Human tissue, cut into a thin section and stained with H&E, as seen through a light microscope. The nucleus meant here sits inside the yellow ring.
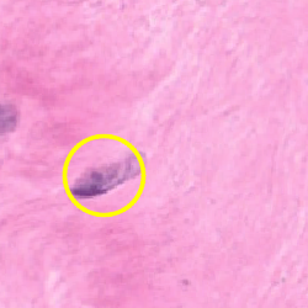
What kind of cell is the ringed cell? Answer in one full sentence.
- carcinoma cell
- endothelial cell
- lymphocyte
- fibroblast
On this particular slide, the ringed cell is a fibroblast.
